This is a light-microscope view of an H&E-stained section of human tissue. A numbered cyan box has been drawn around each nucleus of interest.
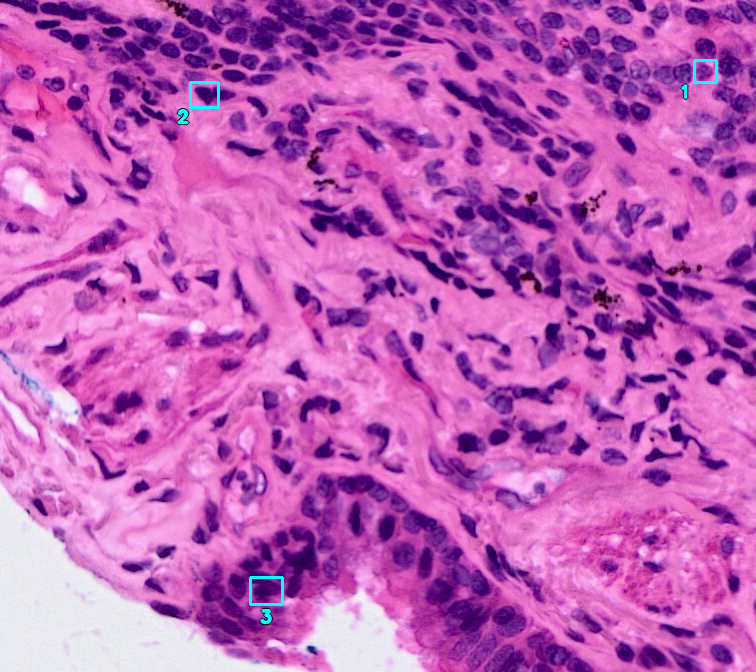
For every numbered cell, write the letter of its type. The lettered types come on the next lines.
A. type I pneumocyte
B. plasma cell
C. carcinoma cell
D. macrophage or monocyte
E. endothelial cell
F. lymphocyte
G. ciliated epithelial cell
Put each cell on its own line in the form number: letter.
1: F
2: F
3: G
